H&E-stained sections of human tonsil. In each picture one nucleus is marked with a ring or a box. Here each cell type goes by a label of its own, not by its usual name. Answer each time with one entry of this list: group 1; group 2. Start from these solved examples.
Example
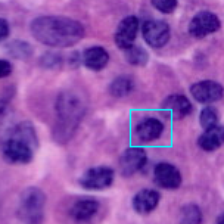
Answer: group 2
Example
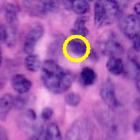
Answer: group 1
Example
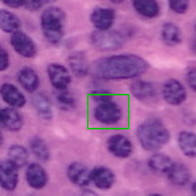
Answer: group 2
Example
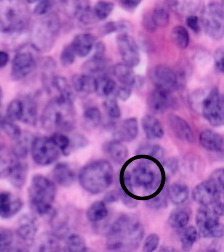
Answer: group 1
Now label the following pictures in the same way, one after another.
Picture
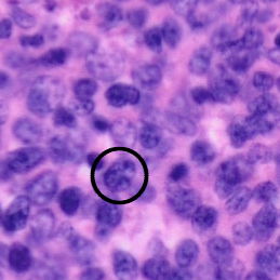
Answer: group 1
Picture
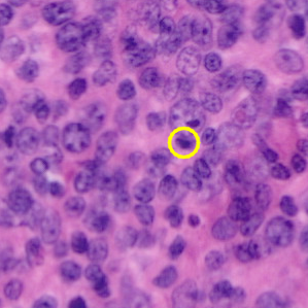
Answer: group 1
